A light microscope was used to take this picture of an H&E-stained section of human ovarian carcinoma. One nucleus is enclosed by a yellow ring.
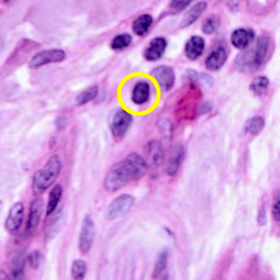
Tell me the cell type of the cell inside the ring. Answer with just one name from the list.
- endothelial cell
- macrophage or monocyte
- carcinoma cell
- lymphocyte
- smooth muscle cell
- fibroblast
lymphocyte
